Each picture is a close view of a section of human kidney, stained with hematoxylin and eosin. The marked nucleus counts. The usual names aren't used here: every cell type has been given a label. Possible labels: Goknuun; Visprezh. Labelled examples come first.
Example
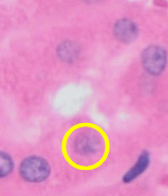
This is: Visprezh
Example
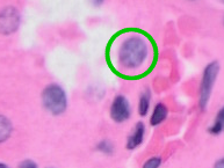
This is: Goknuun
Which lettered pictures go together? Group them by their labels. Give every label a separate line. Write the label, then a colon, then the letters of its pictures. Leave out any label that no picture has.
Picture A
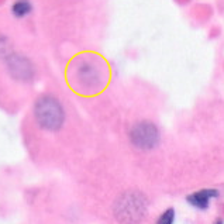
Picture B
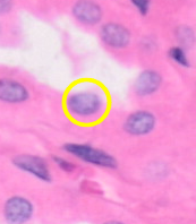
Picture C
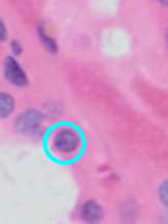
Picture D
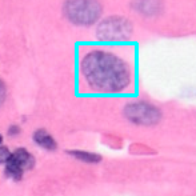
Goknuun: B, C, D
Visprezh: A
